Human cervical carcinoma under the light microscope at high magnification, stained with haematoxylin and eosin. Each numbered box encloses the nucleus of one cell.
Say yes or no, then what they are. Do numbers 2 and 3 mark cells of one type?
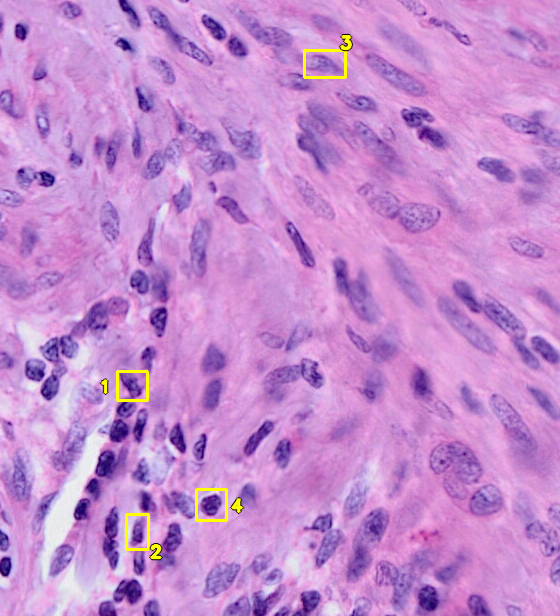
No, cell 2 is a lymphocyte and cell 3 is a smooth muscle cell.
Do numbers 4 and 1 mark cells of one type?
Yes, both are lymphocytes.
